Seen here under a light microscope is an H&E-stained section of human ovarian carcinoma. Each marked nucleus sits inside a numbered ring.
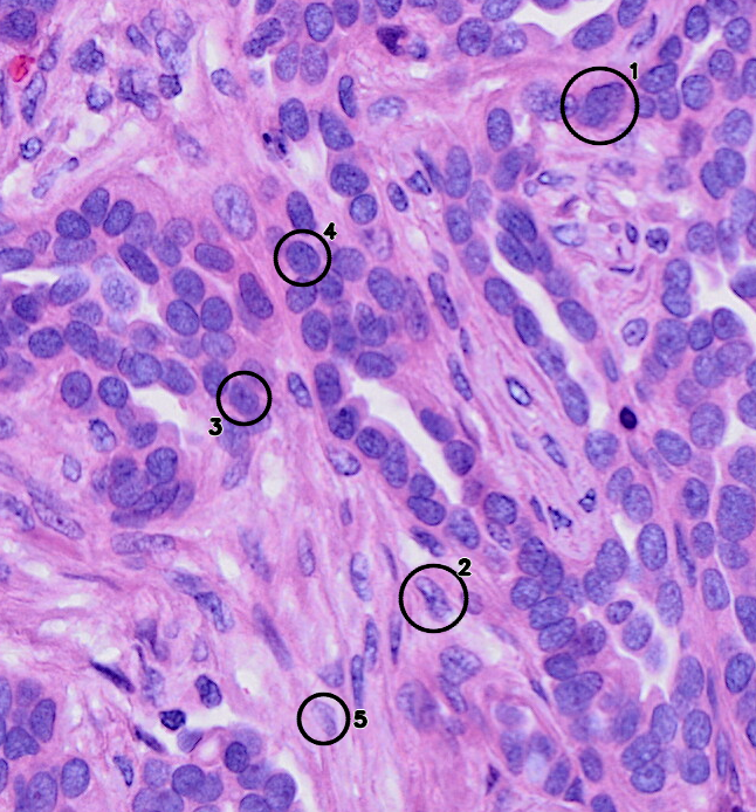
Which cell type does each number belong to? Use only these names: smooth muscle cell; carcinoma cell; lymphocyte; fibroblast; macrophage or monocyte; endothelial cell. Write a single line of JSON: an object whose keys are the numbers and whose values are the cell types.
{"1": "carcinoma cell", "2": "fibroblast", "3": "carcinoma cell", "4": "carcinoma cell", "5": "fibroblast"}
